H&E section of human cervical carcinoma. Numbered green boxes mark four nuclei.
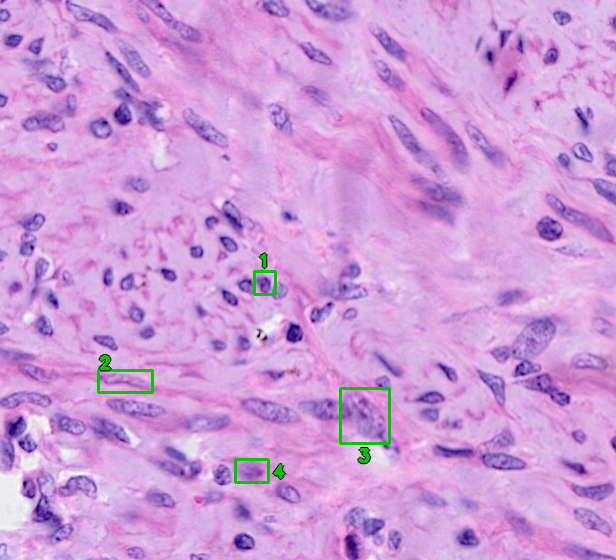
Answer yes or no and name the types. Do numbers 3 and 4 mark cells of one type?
No, cell 3 is an endothelial cell and cell 4 is a smooth muscle cell.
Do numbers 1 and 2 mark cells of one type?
Yes, both are smooth muscle cells.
